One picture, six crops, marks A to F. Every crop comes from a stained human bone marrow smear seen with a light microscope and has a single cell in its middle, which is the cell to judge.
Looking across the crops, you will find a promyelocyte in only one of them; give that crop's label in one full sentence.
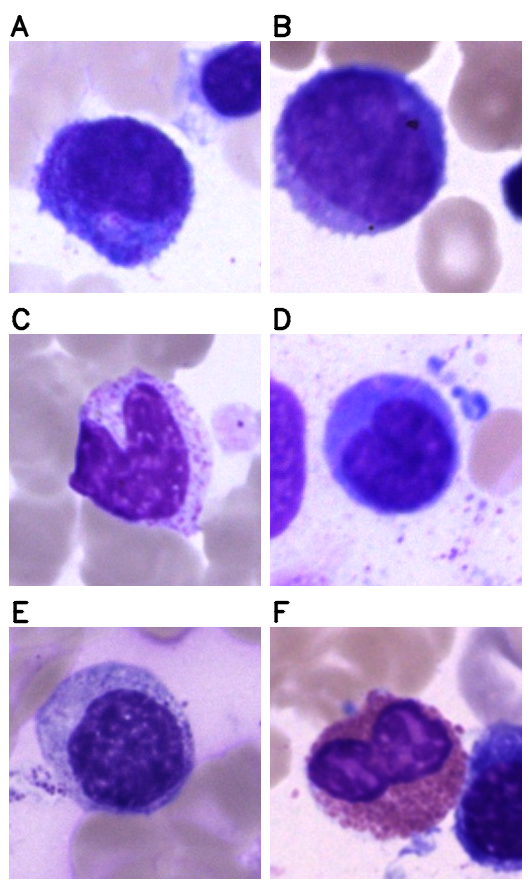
The one crop in the set with a promyelocyte is crop A.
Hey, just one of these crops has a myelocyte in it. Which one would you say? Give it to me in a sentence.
Crop E is the one in this set that shows a myelocyte.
